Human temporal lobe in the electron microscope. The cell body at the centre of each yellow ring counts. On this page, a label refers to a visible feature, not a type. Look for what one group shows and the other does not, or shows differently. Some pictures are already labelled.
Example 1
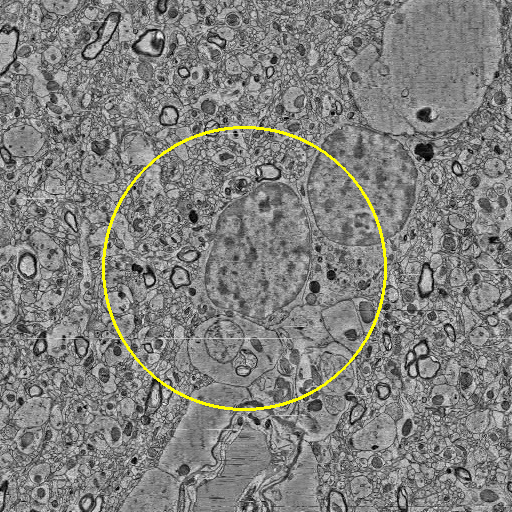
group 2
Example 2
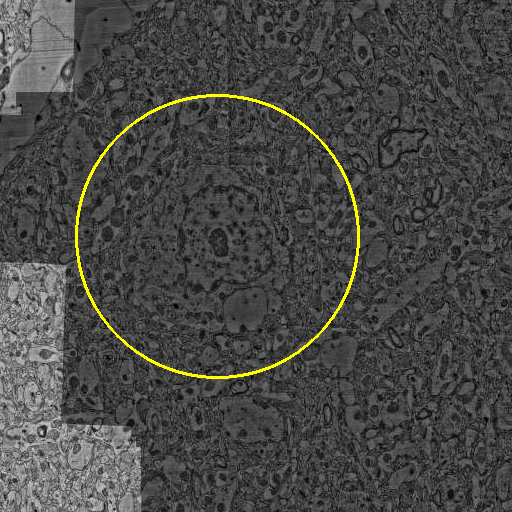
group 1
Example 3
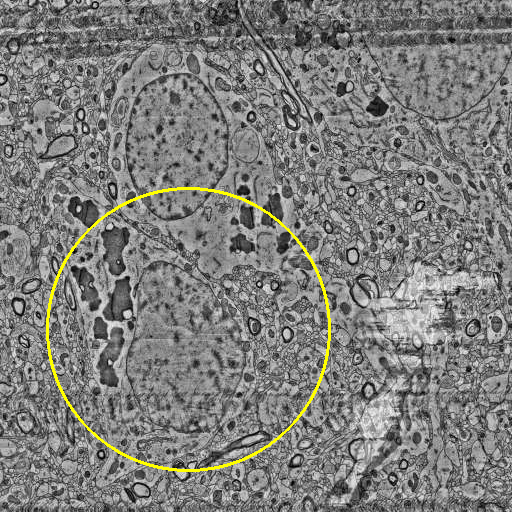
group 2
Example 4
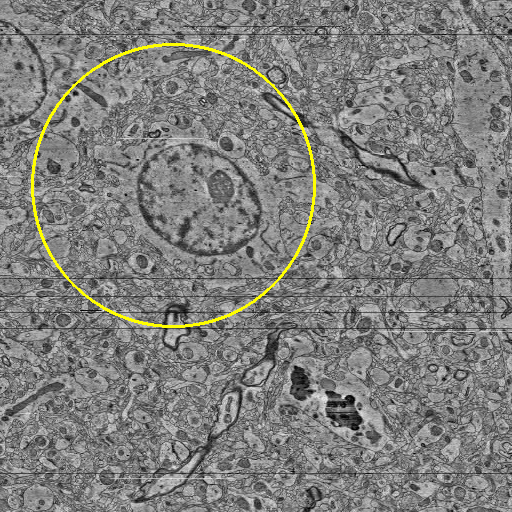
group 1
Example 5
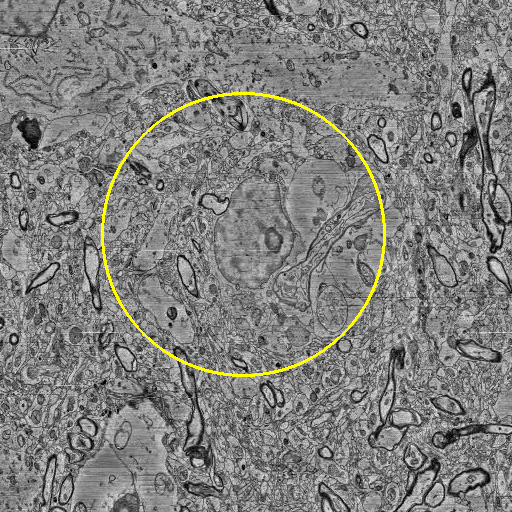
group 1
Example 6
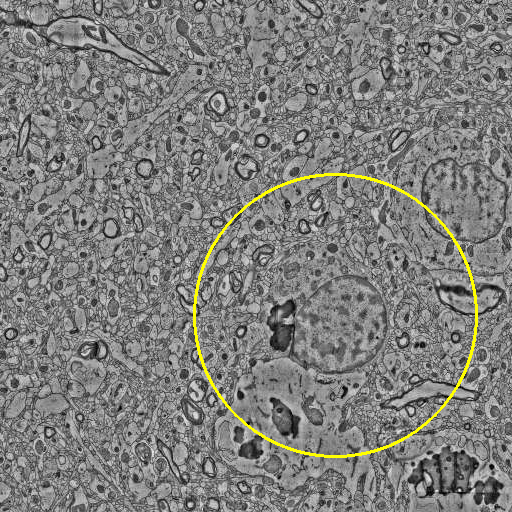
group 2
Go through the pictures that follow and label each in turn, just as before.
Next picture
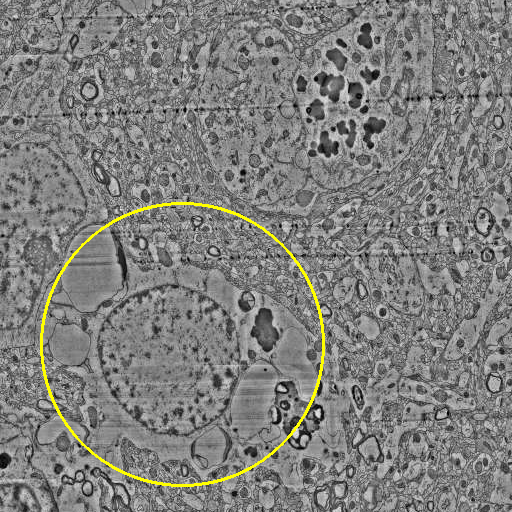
group 2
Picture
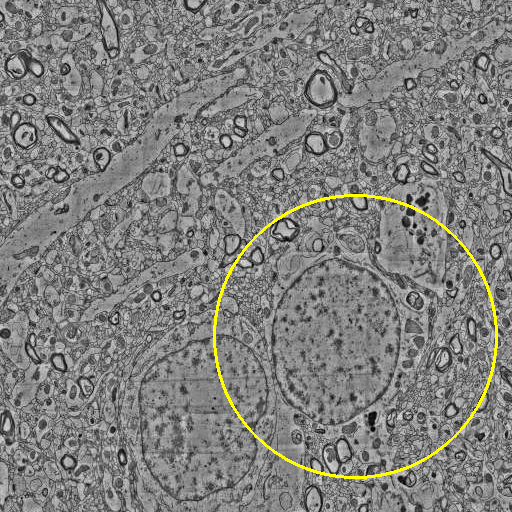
group 2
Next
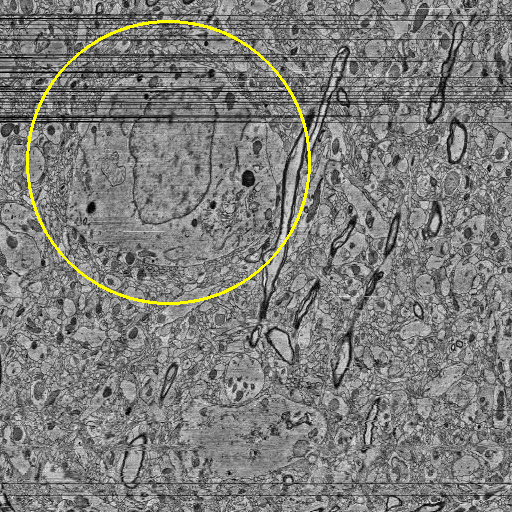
group 2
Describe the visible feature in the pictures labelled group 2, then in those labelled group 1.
In group 2: no nucleolus seen. In group 1: nucleolus seen.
